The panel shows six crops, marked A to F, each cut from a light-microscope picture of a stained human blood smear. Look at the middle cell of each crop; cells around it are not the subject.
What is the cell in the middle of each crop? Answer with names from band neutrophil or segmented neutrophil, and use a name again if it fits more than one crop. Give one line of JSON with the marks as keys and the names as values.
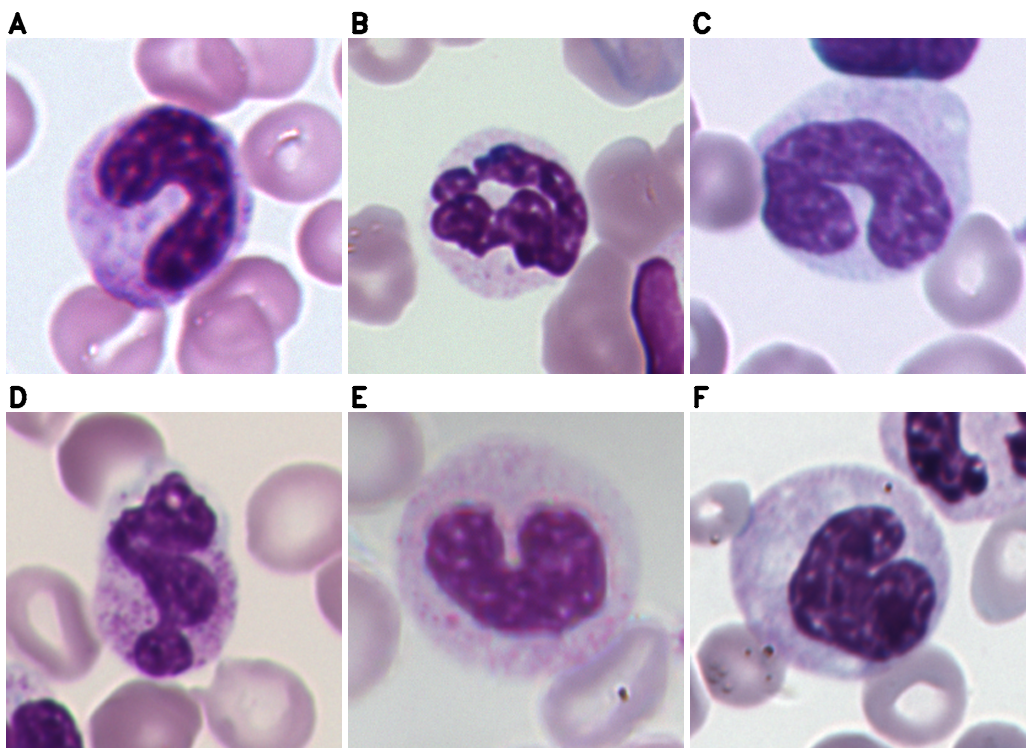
{"A": "band neutrophil", "B": "segmented neutrophil", "C": "band neutrophil", "D": "segmented neutrophil", "E": "band neutrophil", "F": "band neutrophil"}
